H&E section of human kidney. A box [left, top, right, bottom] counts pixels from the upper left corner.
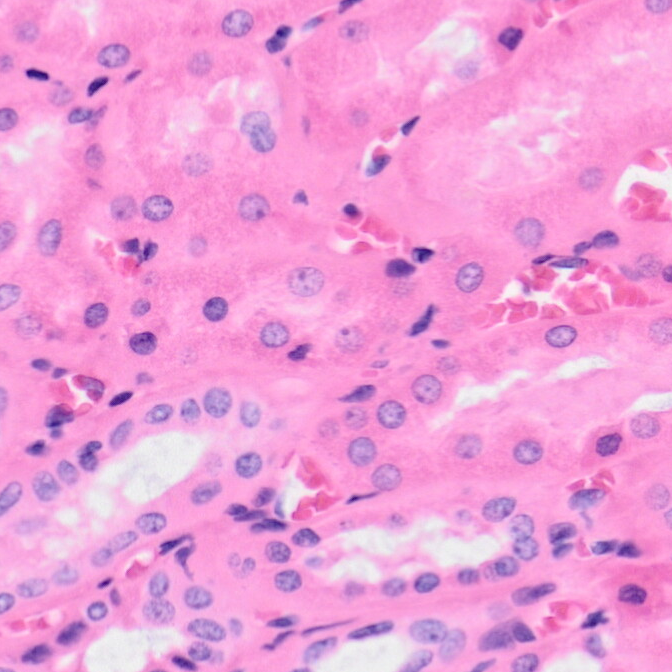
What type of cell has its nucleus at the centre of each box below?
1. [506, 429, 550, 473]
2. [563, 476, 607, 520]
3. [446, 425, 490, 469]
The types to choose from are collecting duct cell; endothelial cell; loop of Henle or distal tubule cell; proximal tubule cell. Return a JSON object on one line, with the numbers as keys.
{"1": "proximal tubule cell", "2": "endothelial cell", "3": "proximal tubule cell"}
